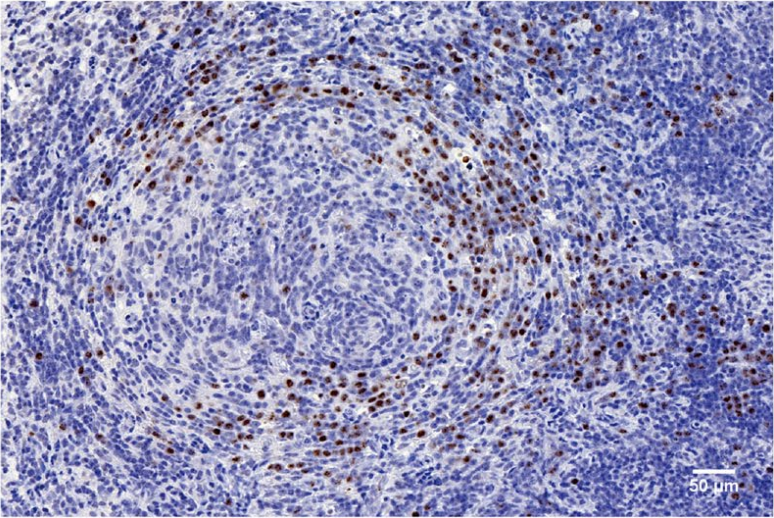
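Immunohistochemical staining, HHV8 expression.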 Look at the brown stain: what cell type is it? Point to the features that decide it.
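Brown stain lies in round nuclei of single scattered cells. The stained cells lie among blue-counterstained small cells around the follicle. So: plasma cells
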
